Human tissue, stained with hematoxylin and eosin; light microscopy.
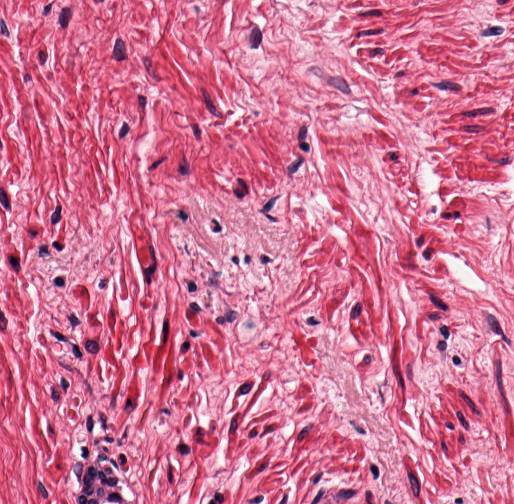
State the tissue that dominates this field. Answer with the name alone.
fibromuscular stroma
